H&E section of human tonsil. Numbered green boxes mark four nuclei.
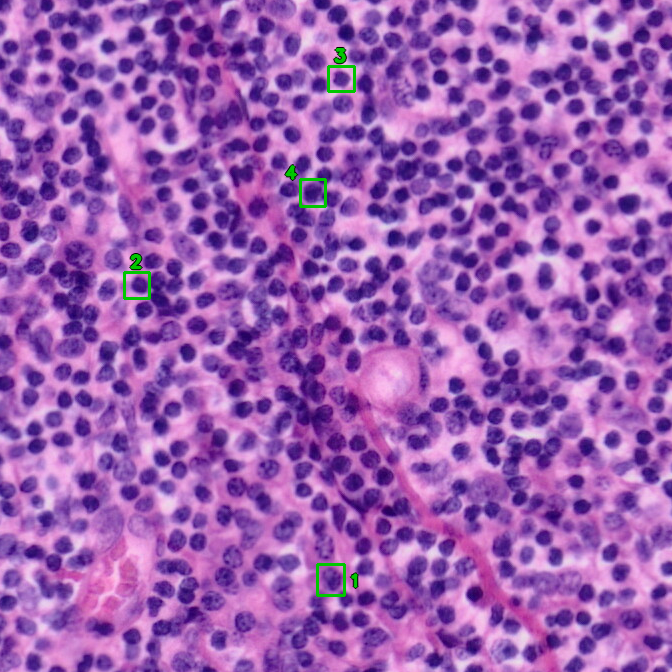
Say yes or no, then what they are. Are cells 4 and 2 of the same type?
Yes, cells 4 and 2 have the same identity; both are small lymphocytes.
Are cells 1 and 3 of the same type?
No, cell 1 should be called a plasma cell, and cell 3 should be called a small lymphocyte.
